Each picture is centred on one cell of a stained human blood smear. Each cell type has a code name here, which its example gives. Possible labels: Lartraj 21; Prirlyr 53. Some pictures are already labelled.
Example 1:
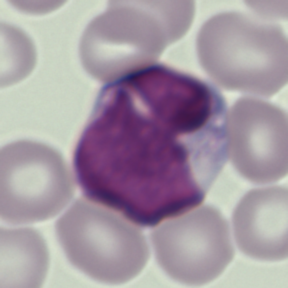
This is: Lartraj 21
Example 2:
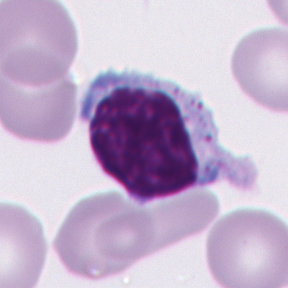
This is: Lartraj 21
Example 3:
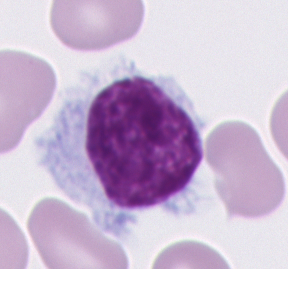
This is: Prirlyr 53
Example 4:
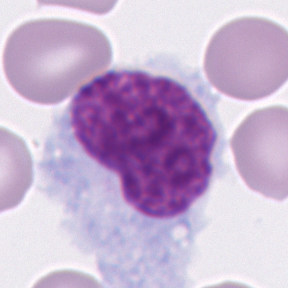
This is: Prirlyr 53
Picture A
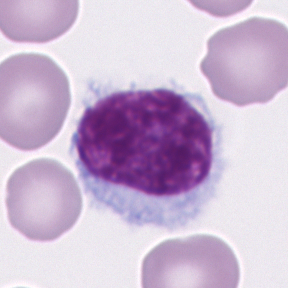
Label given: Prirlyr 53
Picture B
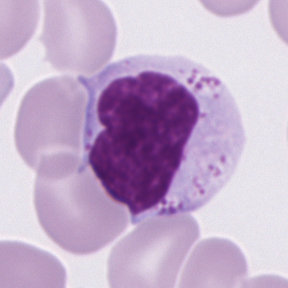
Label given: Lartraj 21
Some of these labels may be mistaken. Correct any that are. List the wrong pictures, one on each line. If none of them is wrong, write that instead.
None of the labels needs changing.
